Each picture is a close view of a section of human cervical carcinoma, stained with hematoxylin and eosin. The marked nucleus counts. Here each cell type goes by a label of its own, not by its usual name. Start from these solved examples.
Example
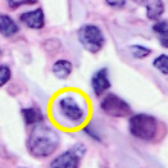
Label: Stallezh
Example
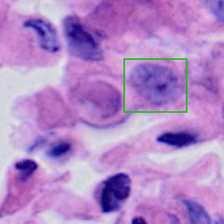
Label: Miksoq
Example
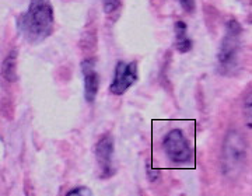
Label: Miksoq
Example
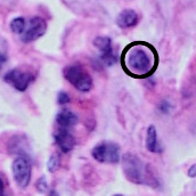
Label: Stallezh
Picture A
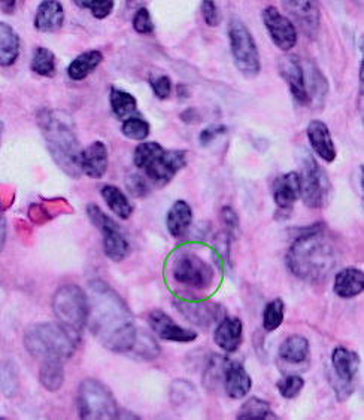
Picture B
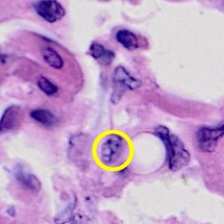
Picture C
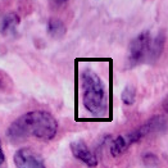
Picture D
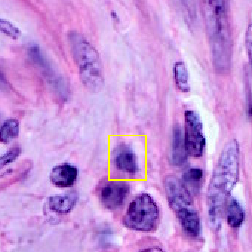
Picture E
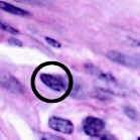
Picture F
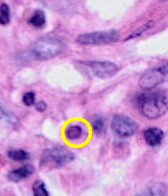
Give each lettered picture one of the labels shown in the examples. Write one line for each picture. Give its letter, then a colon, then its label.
A: Miksoq
B: Miksoq
C: Miksoq
D: Stallezh
E: Stallezh
F: Miksoq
